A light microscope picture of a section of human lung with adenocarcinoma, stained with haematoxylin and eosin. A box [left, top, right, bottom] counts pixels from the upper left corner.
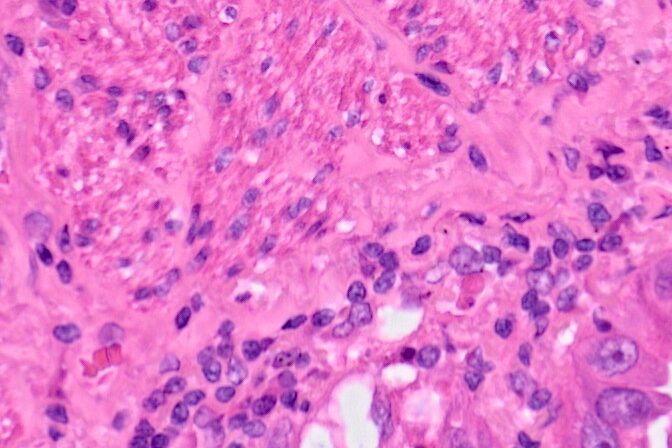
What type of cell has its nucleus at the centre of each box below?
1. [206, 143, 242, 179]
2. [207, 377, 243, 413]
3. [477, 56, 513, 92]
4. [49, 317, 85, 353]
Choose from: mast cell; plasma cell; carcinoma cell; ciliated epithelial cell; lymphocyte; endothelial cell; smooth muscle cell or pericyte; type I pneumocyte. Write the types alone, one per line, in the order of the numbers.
smooth muscle cell or pericyte
lymphocyte
smooth muscle cell or pericyte
mast cell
